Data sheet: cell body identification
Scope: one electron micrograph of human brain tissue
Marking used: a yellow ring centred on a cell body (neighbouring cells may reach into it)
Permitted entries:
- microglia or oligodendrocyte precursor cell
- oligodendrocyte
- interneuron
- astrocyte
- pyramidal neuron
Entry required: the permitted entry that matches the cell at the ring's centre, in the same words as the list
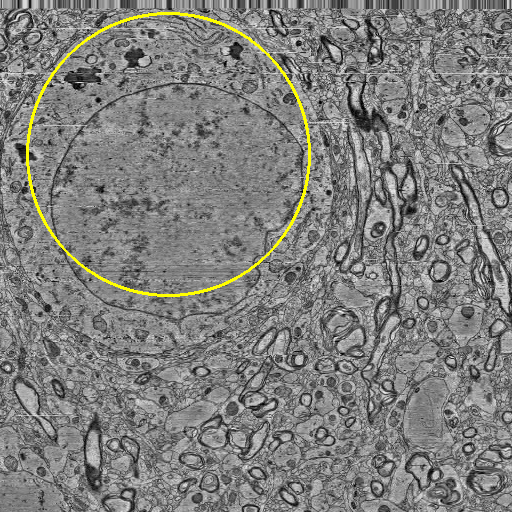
pyramidal neuron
